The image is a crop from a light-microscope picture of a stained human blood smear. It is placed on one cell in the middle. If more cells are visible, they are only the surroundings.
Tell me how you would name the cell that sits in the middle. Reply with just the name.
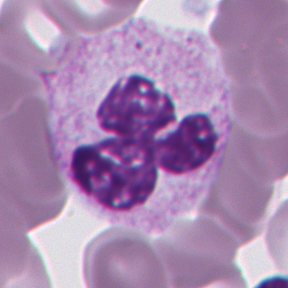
neutrophil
